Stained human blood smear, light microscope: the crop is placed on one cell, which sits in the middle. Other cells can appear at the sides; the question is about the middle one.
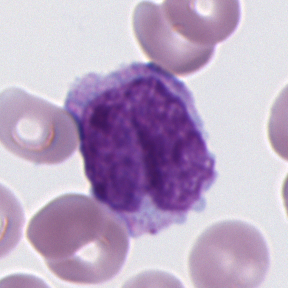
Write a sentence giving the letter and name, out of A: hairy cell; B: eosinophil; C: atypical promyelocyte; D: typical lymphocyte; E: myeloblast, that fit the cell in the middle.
Option C is correct in naming the middle cell an atypical promyelocyte.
